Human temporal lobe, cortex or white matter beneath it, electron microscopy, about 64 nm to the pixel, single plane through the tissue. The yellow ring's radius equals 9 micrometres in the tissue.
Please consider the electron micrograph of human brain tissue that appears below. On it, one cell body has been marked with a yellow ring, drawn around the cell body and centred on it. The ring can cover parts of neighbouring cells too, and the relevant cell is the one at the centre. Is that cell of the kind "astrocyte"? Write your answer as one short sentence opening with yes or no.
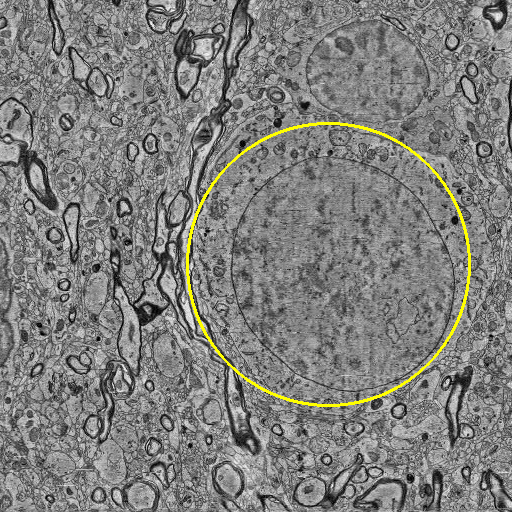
No, it is of another kind.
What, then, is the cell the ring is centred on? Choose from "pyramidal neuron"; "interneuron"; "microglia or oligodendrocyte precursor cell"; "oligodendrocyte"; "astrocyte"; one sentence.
The cell in the ring is a pyramidal neuron instead.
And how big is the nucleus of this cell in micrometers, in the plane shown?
About 15 micrometers across, in this plane.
